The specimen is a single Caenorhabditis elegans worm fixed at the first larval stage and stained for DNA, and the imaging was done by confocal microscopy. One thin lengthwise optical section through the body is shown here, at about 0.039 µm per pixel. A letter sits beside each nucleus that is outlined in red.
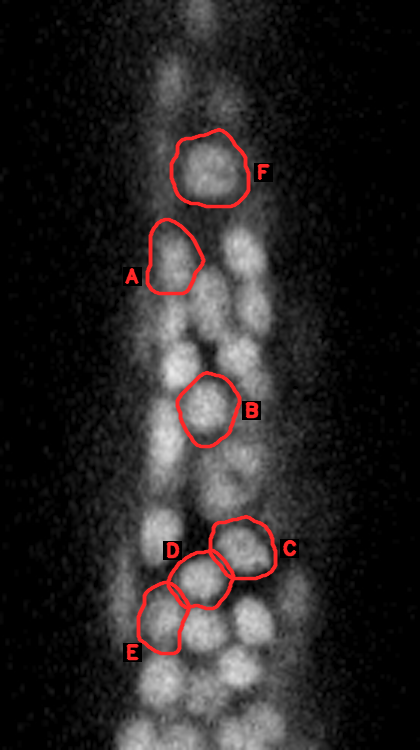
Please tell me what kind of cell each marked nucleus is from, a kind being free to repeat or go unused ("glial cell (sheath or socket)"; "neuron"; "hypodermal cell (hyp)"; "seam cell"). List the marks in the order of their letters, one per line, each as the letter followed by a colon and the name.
A: hypodermal cell (hyp)
B: neuron
C: seam cell
D: neuron
E: neuron
F: seam cell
